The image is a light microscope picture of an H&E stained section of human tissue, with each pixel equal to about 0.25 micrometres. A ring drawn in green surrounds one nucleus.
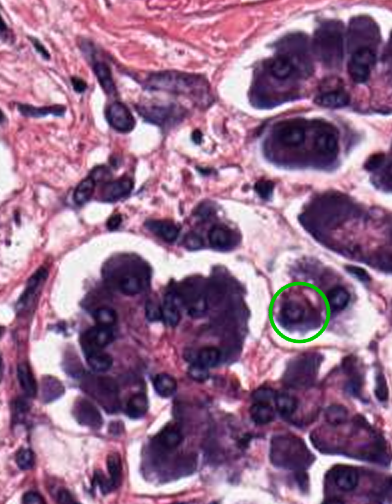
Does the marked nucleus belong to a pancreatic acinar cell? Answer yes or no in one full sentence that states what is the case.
Yes, the marked nucleus belongs to a pancreatic acinar cell in this image.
